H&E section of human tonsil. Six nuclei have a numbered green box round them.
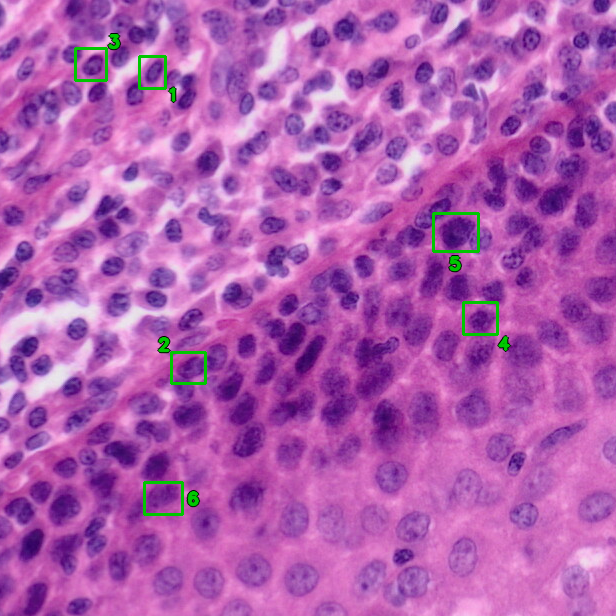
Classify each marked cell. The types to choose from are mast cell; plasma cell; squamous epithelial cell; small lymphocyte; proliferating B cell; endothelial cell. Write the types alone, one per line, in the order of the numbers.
plasma cell
squamous epithelial cell
plasma cell
squamous epithelial cell
squamous epithelial cell
squamous epithelial cell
